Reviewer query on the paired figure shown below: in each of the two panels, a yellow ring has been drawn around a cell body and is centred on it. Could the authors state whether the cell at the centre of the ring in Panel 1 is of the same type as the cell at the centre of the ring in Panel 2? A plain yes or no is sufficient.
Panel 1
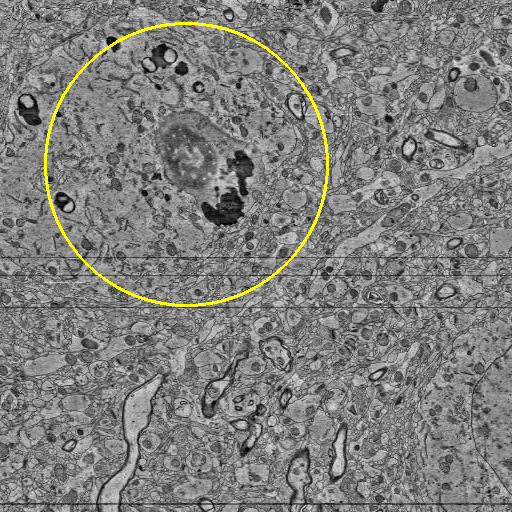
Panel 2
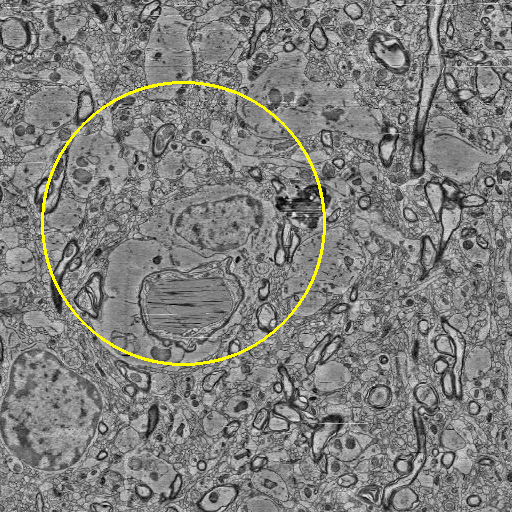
no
